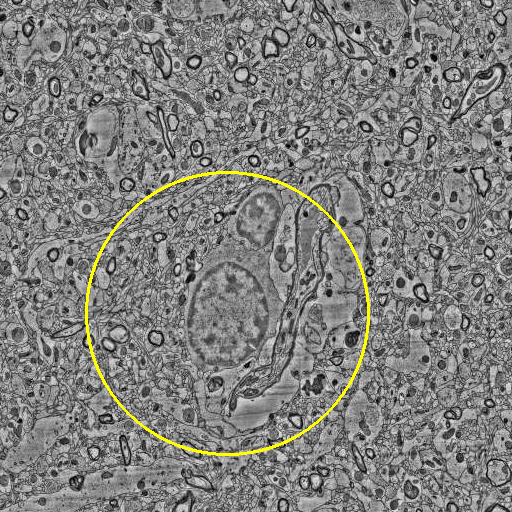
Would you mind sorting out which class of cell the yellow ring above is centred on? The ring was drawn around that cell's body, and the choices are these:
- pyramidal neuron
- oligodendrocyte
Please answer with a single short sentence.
This is the cell body of an oligodendrocyte.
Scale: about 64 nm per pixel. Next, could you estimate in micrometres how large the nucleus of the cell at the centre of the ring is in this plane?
Roughly 7 by 5 micrometres in this plane, for the nucleus of the ringed cell.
